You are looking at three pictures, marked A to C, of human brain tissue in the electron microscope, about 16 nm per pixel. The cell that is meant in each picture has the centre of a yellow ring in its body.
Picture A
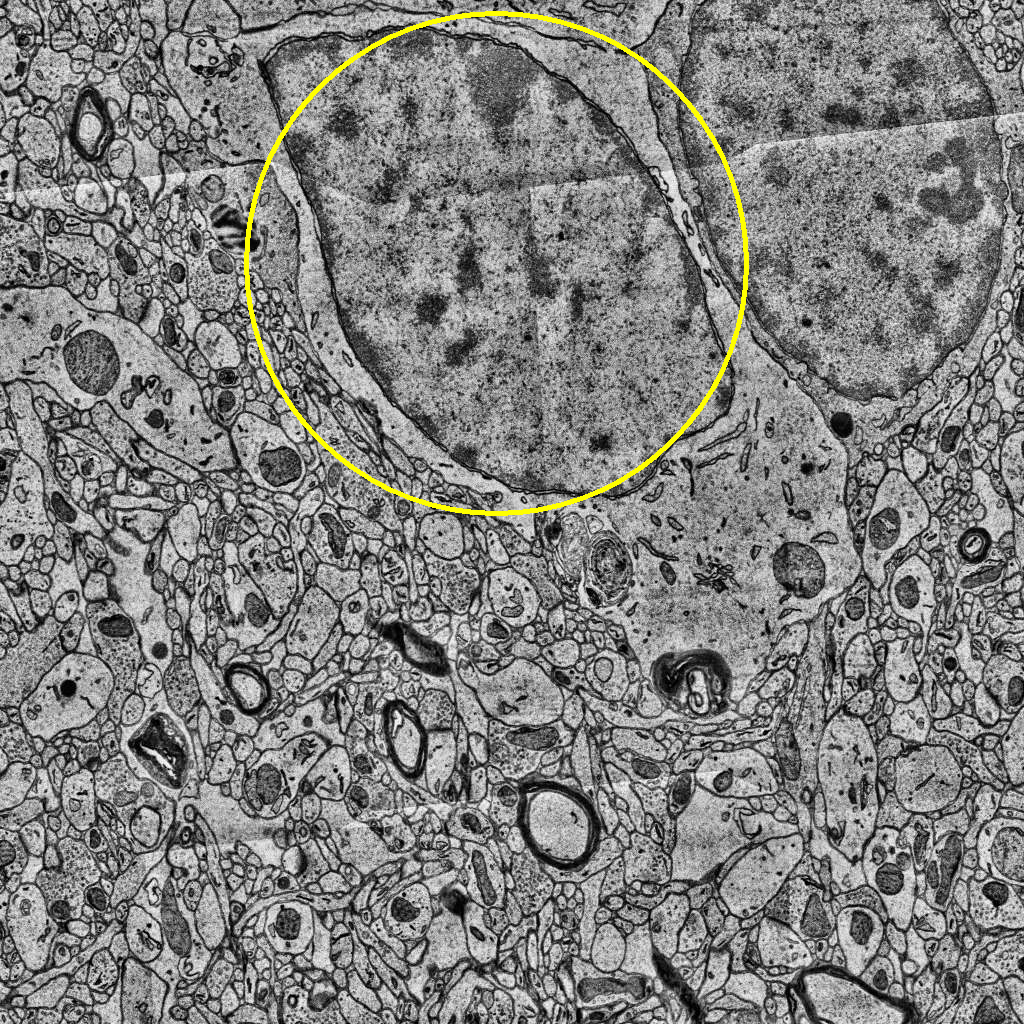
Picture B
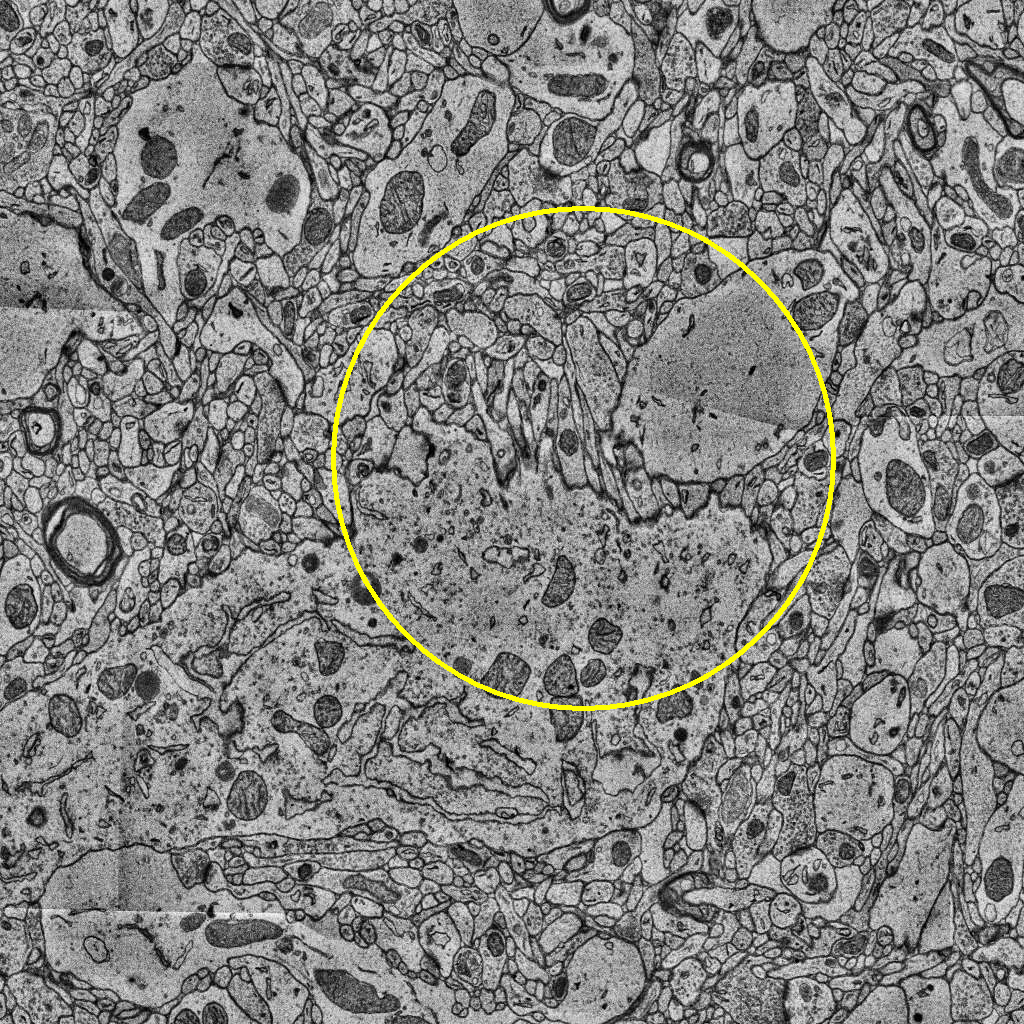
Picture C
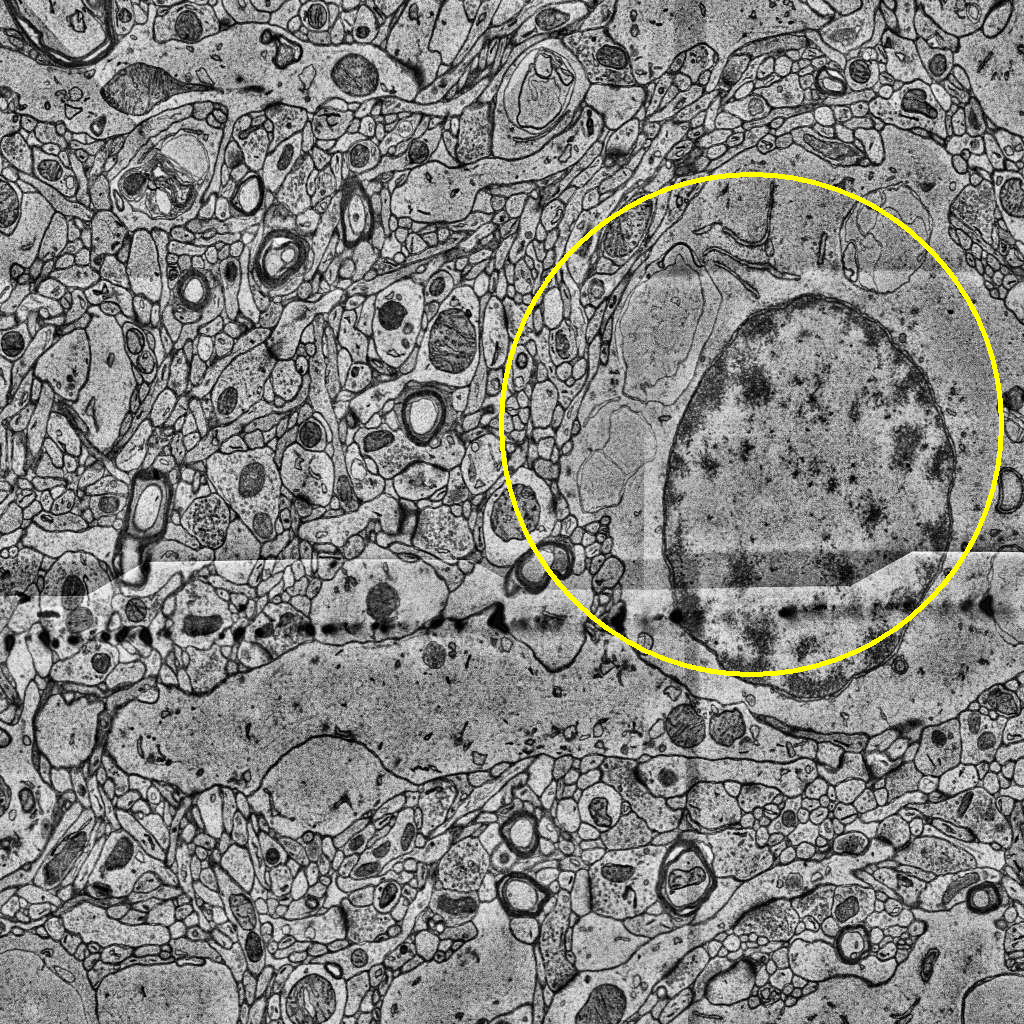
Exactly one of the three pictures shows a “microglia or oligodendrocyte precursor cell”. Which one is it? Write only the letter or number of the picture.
A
